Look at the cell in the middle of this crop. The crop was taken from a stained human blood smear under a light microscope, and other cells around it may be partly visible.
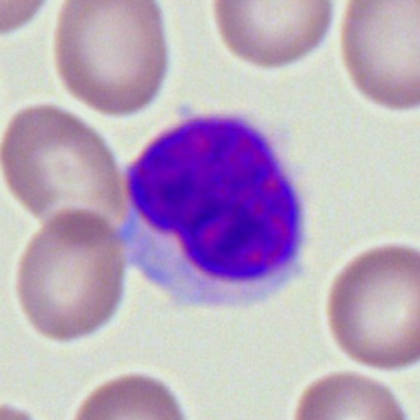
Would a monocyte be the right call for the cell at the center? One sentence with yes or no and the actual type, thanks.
No, the cell centered in the crop is a lymphocyte, not a monocyte.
